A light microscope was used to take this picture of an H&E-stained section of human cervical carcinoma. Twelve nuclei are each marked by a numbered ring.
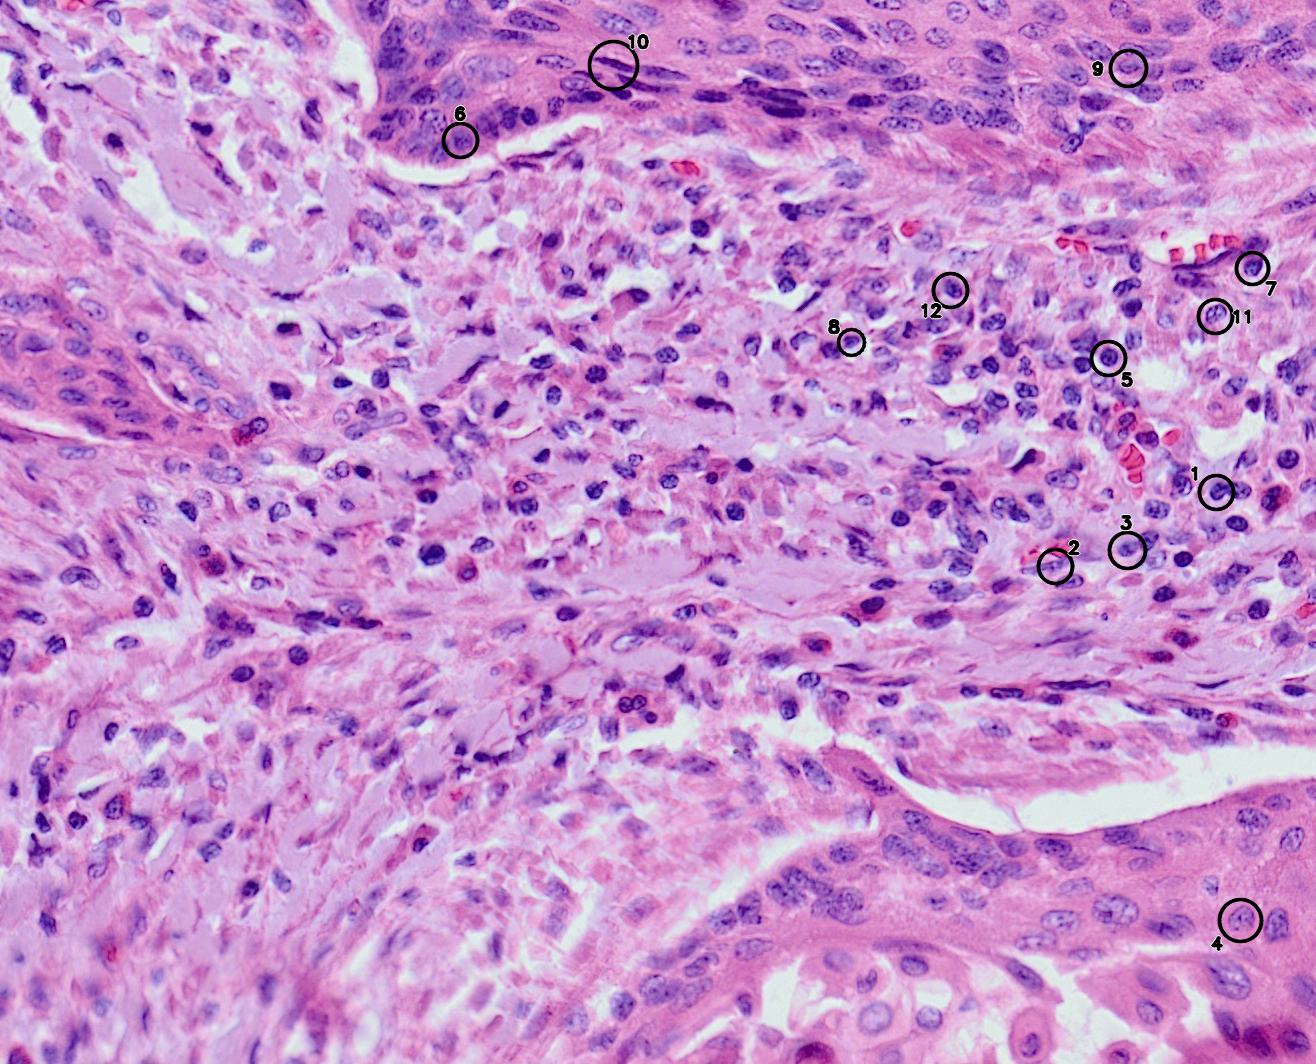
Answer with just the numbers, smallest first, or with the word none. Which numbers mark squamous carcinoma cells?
4, 6, 9, 10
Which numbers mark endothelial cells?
2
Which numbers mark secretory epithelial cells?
none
